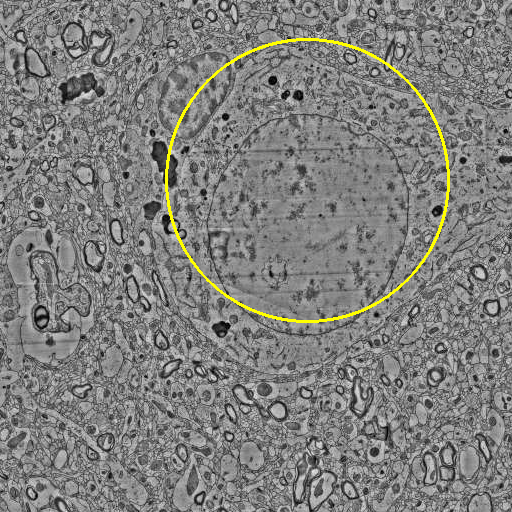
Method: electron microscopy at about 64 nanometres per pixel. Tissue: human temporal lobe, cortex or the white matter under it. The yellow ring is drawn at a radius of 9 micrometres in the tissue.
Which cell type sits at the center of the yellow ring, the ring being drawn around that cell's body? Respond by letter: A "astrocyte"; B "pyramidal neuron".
B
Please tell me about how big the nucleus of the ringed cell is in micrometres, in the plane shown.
About 15 by 13 micrometers, in this plane.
